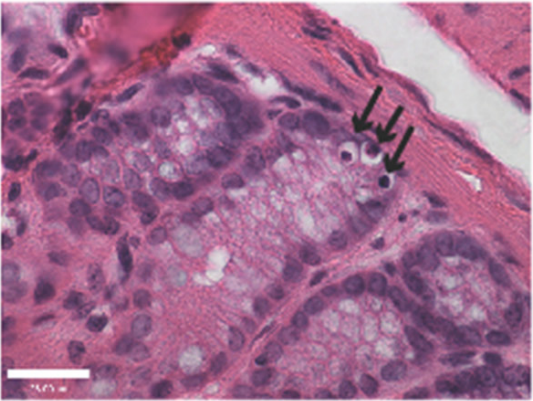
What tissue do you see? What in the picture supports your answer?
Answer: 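Colon. Glands in cross-section are packed with pale, vacuolated mucus-filled cells. Pink smooth muscle bundles run along one edge of the glands.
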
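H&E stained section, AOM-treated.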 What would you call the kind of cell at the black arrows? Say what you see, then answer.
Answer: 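Apoptotic cells. The arrowed cells have small, round, very dark condensed nuclei. Each dark nucleus sits within a clear halo, separated from its neighbours. The arrowed cells are smaller than the surrounding epithelial cells.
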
